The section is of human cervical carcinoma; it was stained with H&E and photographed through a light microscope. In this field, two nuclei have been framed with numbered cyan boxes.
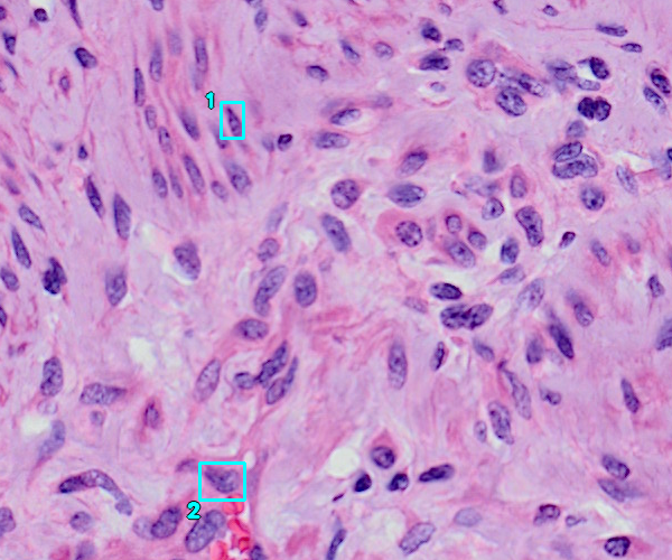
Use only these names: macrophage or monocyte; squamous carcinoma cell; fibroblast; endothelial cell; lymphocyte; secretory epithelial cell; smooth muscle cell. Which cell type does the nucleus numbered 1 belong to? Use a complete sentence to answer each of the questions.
The one labeled 1 is a smooth muscle cell, to put it simply.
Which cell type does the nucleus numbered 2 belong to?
Among the marked cells, number 2 is an endothelial cell.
